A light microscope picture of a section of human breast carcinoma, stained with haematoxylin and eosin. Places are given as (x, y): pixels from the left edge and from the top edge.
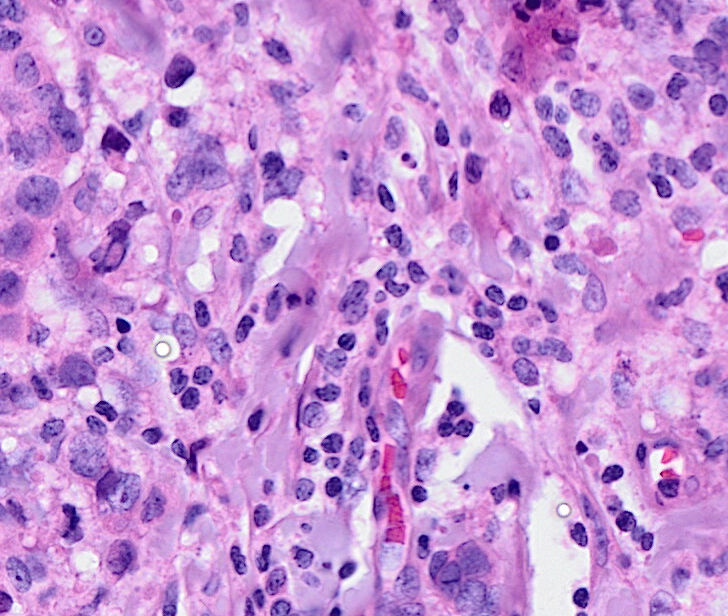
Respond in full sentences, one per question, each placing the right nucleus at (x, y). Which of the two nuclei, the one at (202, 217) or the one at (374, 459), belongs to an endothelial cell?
The correct choice is the nucleus at (374, 459), which belongs to an endothelial cell.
